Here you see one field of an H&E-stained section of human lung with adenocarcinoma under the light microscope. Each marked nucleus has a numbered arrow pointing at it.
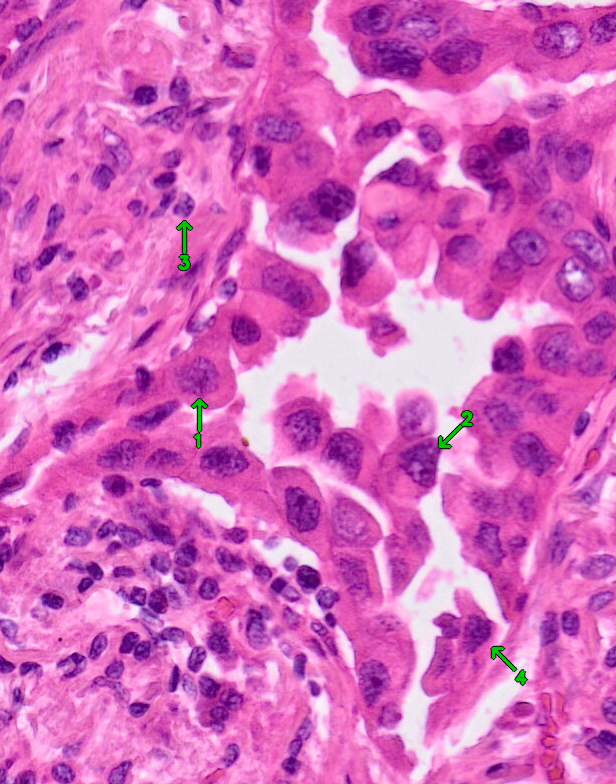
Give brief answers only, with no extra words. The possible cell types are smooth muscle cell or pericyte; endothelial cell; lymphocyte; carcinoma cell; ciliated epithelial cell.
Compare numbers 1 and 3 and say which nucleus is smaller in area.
3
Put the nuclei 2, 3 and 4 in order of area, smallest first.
3, 4, 2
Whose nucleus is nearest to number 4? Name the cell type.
carcinoma cell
